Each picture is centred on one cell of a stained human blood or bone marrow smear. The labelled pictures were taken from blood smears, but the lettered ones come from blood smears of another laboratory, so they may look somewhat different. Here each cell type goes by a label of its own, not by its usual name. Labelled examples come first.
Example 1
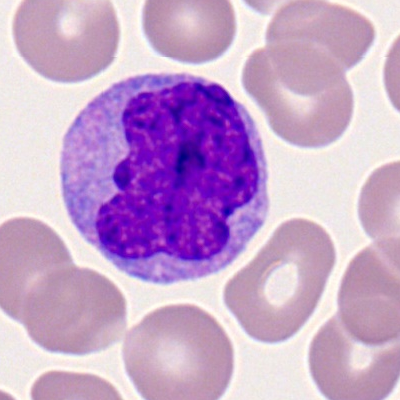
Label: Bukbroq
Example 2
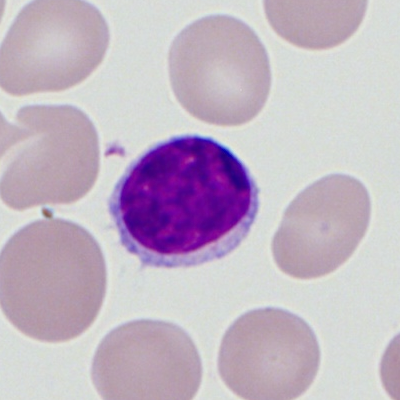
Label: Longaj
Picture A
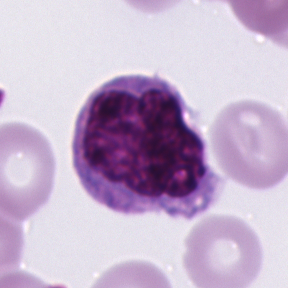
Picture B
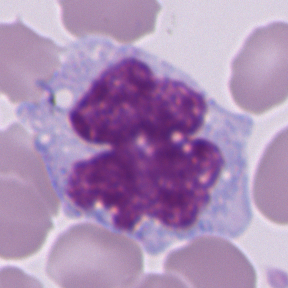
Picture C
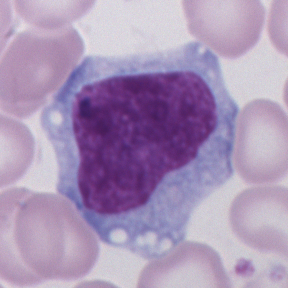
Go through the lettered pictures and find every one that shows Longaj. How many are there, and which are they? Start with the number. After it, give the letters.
0, none of them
